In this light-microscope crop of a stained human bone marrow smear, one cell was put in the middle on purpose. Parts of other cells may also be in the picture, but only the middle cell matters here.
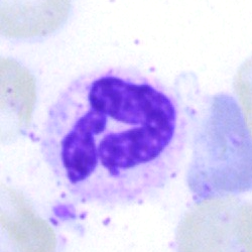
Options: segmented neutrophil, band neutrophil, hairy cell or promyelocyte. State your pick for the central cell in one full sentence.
The cell found in the middle of this crop is a segmented neutrophil.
